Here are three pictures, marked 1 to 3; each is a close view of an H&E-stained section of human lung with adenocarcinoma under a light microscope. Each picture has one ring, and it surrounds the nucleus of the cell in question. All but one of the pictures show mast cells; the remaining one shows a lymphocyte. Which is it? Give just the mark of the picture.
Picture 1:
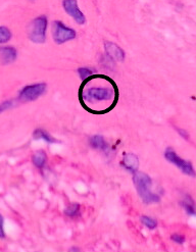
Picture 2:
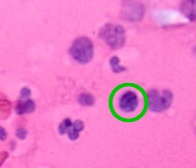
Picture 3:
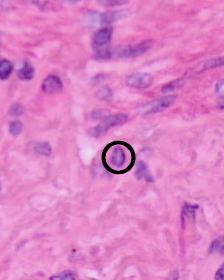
2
